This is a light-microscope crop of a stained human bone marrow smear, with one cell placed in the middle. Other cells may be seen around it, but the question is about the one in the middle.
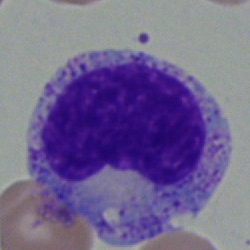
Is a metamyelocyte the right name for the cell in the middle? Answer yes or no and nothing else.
yes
